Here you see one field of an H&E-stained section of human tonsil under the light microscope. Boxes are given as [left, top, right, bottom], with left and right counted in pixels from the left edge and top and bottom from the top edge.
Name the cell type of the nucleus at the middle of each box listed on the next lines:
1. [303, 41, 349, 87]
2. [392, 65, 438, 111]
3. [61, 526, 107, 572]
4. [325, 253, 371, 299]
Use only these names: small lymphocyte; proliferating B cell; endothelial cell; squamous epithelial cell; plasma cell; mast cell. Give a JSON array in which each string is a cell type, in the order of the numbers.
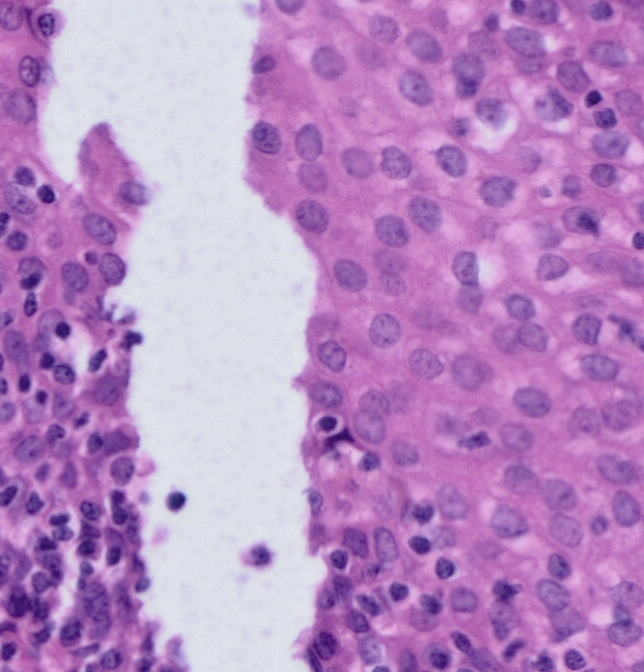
["squamous epithelial cell", "squamous epithelial cell", "plasma cell", "squamous epithelial cell"]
